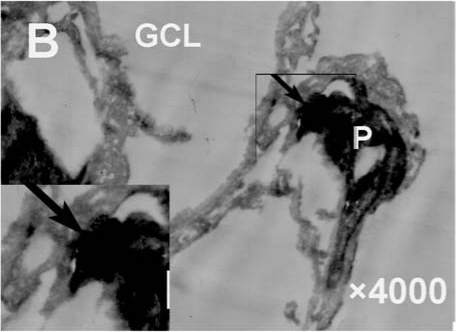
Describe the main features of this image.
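Thin-walled glomerular capillary loops surround pale lumina in transmission electron microscopy. A podocyte cell body lies on a capillary loop and contains a very dense, almost black rounded mass, far darker than the surrounding walls. An enlarged inset at lower left repeats this dark mass.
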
